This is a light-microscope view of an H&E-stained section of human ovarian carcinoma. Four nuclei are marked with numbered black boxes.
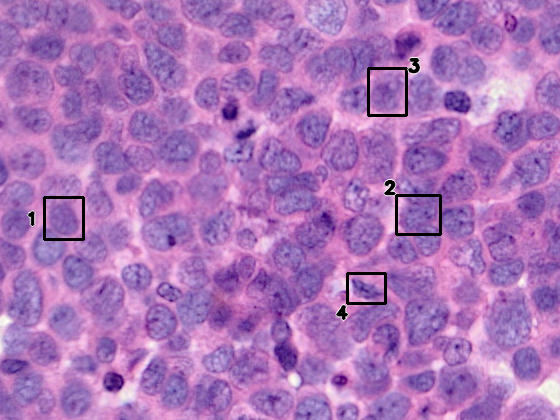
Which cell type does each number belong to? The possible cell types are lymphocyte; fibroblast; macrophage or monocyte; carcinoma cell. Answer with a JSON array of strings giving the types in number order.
["carcinoma cell", "carcinoma cell", "carcinoma cell", "macrophage or monocyte"]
